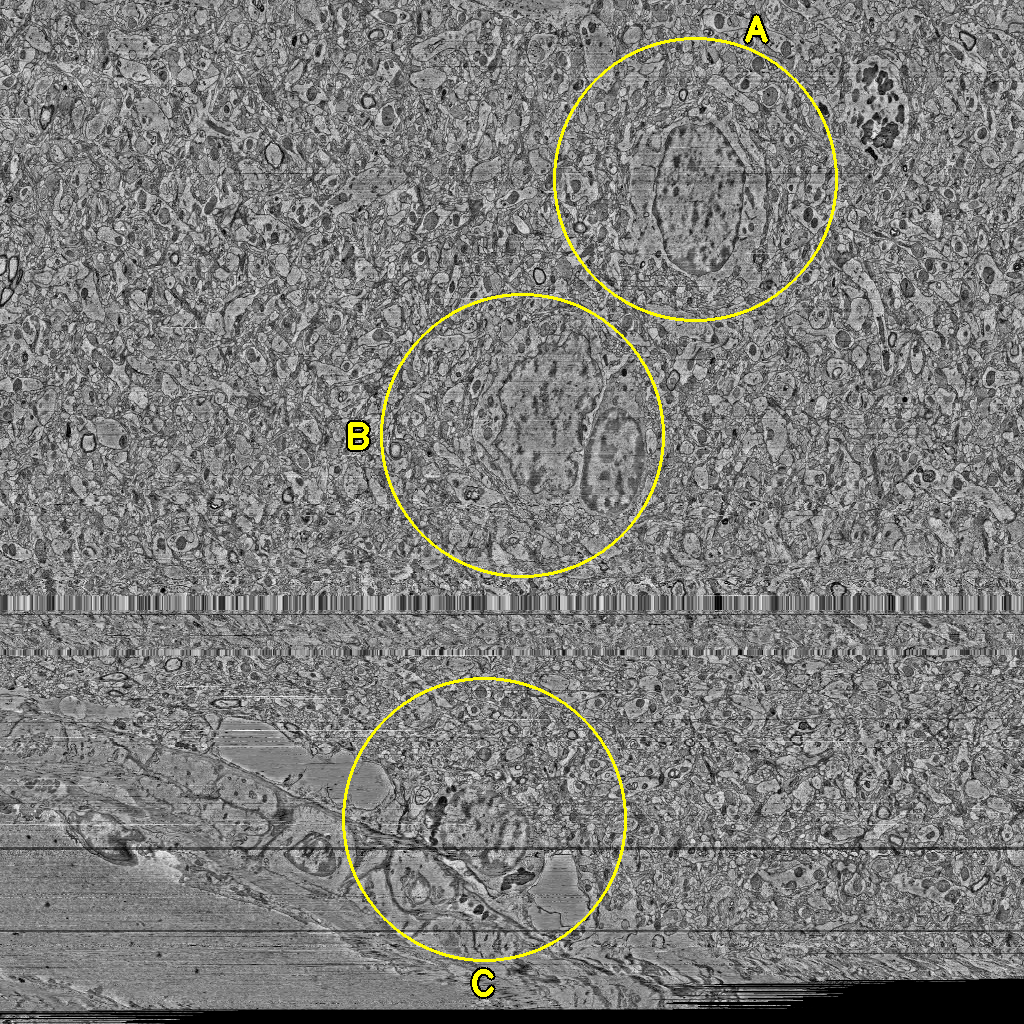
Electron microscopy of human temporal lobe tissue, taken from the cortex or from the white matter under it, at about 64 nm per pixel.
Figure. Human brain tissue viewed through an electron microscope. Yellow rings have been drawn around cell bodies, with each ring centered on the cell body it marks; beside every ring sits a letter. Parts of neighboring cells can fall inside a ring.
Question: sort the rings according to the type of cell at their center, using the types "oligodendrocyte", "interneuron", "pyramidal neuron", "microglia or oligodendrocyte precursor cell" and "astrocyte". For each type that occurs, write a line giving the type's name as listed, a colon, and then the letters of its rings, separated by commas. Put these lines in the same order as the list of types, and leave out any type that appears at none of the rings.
oligodendrocyte: C
interneuron: B
astrocyte: A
